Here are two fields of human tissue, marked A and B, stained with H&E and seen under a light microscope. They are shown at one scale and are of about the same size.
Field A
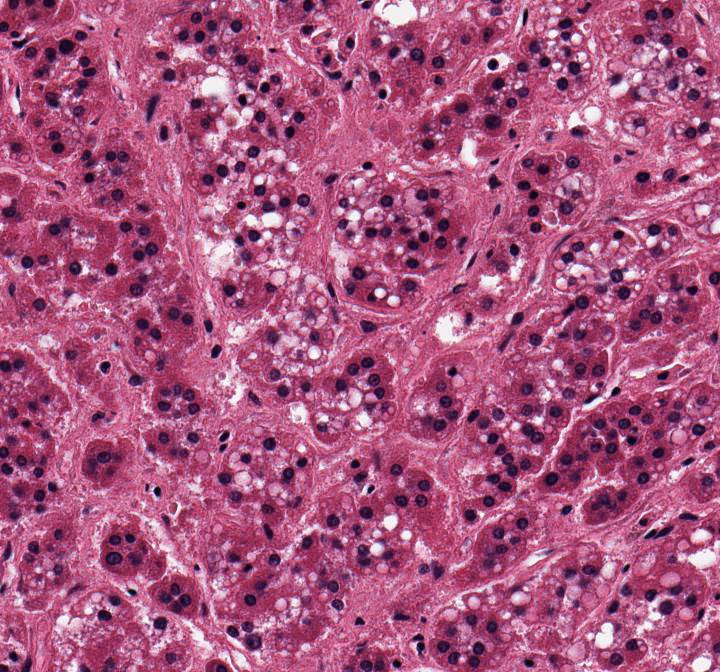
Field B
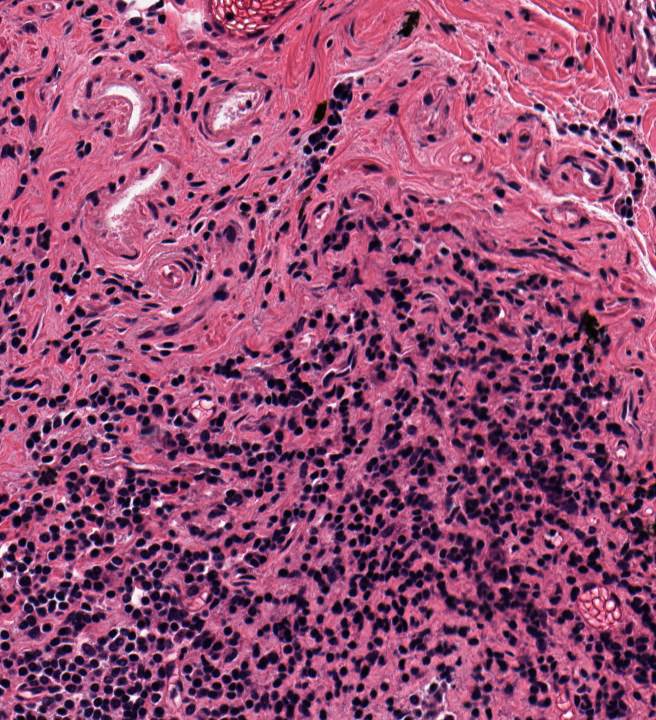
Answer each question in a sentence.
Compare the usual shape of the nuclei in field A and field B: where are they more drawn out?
The nuclei are more elongated in field B.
